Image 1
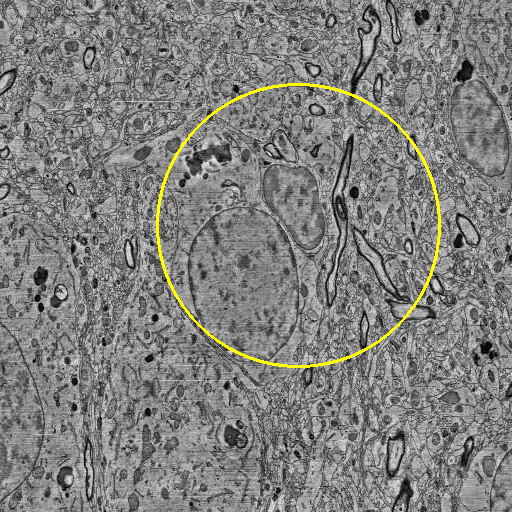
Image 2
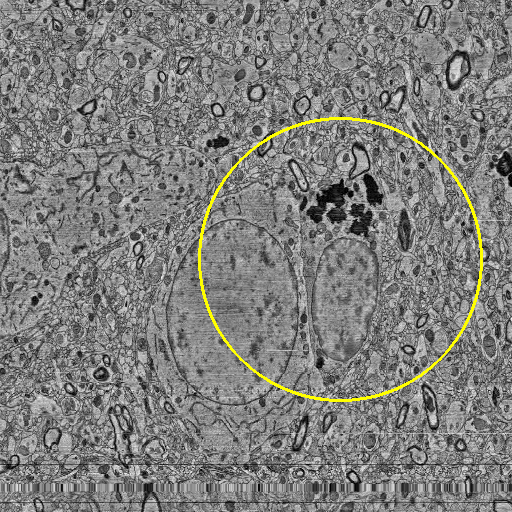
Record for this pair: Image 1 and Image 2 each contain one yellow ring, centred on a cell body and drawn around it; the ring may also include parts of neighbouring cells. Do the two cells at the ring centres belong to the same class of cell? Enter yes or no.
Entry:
no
